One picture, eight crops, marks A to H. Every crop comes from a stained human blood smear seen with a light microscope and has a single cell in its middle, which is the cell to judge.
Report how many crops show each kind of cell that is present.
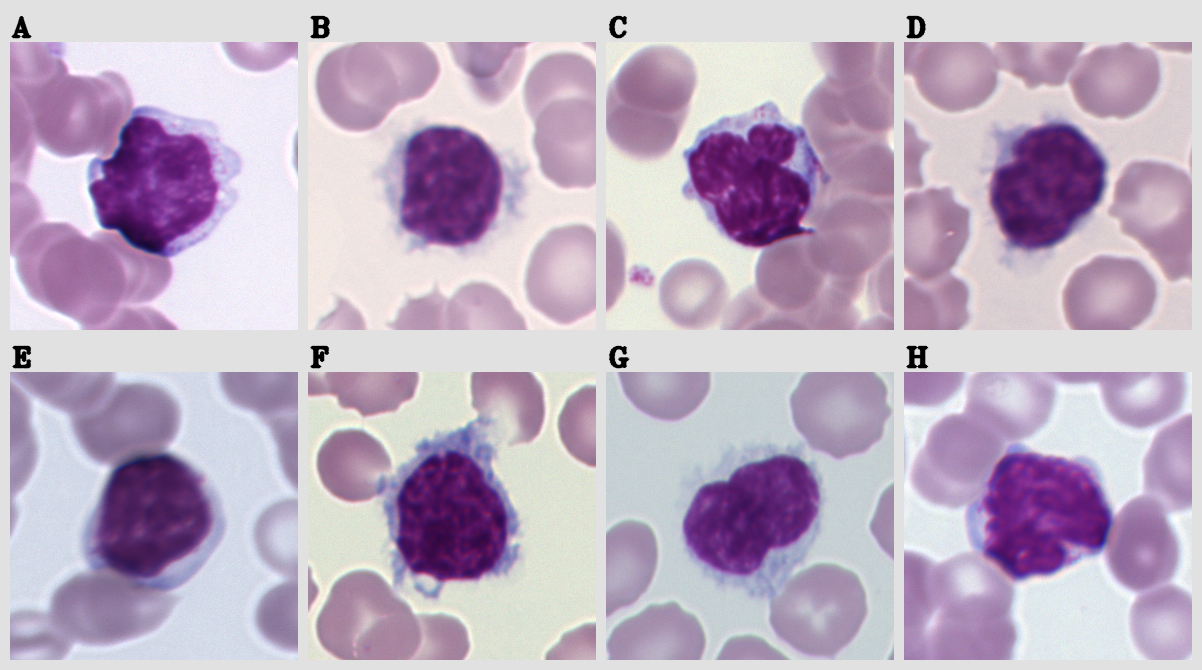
large granular lymphocyte: 4
hairy cell: 4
